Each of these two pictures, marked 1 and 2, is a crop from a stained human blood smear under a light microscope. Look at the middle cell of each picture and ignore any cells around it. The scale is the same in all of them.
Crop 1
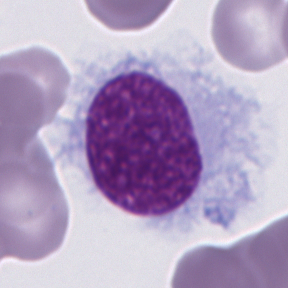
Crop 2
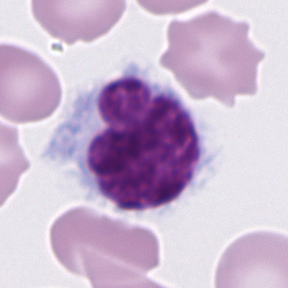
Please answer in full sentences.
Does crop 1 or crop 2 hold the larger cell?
Larger is the cell in crop 1, at roughly 1.5 times the area of the other.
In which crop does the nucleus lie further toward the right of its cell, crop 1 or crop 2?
Seen within its cell, the nucleus in crop 2 lies further toward the right.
